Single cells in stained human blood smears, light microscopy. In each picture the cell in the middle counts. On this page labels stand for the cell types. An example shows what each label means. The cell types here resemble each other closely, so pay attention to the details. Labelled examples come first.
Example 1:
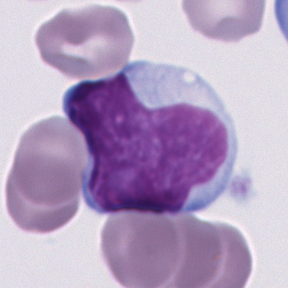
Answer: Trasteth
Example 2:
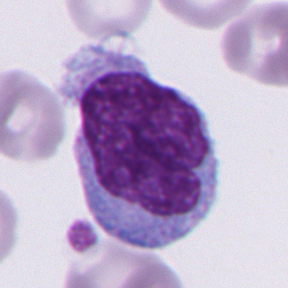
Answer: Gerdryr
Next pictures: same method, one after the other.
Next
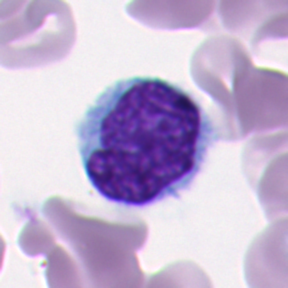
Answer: Gerdryr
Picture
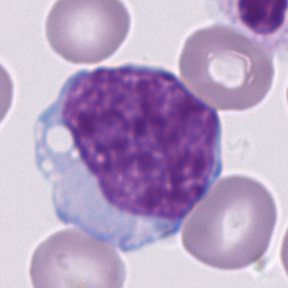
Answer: Trasteth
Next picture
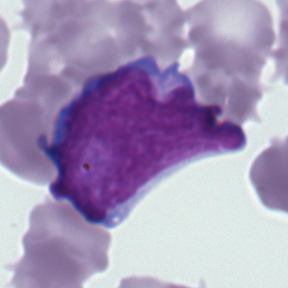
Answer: Trasteth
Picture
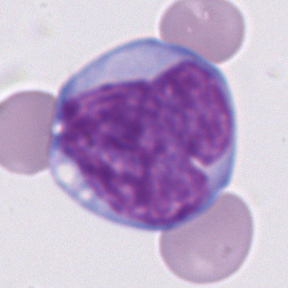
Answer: Trasteth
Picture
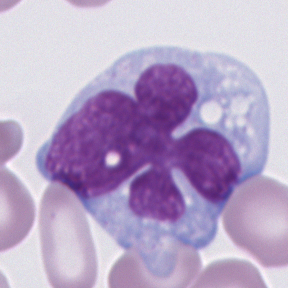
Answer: Gerdryr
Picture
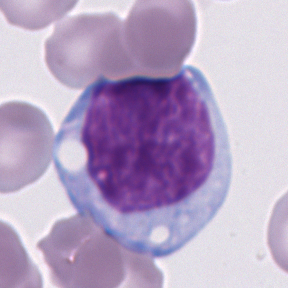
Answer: Trasteth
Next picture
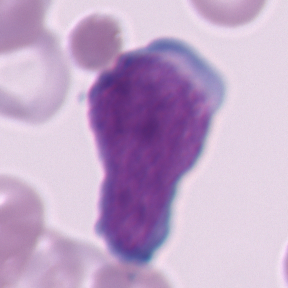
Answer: Trasteth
